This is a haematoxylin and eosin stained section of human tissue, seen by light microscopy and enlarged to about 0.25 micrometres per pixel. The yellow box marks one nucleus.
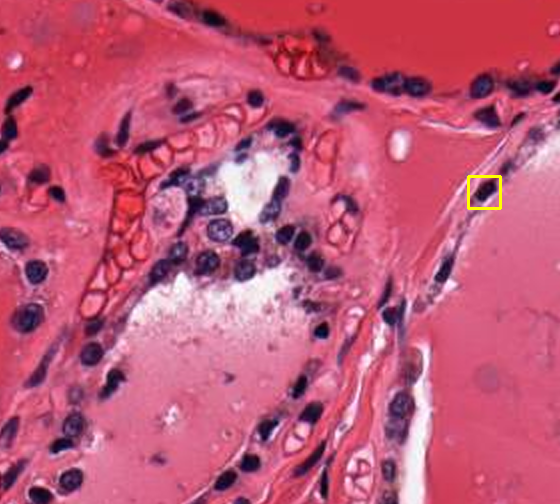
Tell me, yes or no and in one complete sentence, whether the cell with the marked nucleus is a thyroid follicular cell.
Yes, the marked nucleus is to be read as that of a thyroid follicular cell.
